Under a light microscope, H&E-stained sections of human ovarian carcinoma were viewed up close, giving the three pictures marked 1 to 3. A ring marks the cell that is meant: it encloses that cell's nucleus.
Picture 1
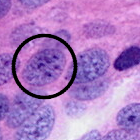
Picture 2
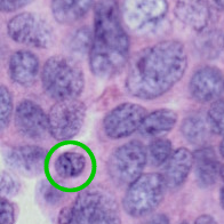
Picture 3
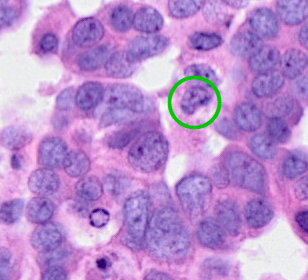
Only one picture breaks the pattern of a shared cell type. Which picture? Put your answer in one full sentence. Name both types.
All pictures except 1 show “macrophages or monocytes”; picture 1 shows a carcinoma cell.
